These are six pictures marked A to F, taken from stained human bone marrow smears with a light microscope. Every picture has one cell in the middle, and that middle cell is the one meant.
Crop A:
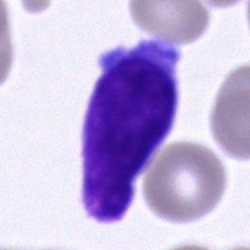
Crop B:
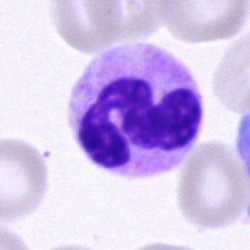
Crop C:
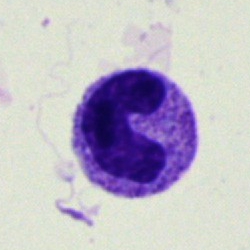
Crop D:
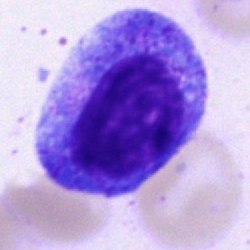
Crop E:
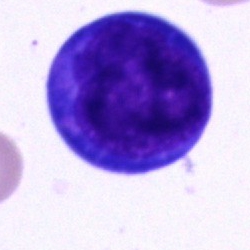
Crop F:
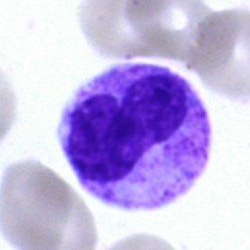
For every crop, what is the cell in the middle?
A: lymphocyte
B: segmented neutrophil
C: band neutrophil
D: promyelocyte
E: proerythroblast
F: metamyelocyte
